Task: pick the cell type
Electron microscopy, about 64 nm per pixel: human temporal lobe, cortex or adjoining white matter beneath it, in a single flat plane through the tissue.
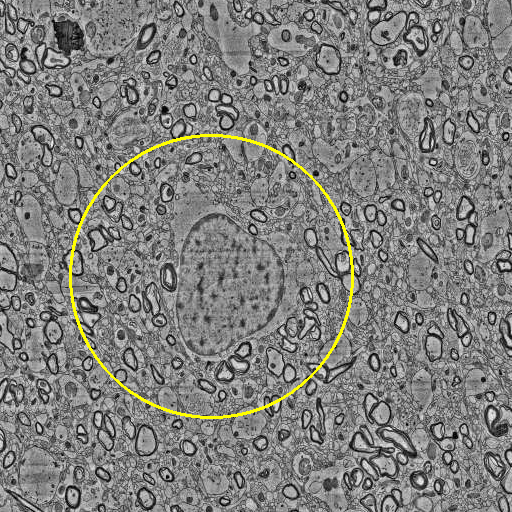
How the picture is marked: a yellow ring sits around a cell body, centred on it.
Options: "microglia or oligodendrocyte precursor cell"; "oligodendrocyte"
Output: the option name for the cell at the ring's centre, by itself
microglia or oligodendrocyte precursor cell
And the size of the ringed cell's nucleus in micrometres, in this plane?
In this plane the nucleus is about 9 micrometres by 7.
